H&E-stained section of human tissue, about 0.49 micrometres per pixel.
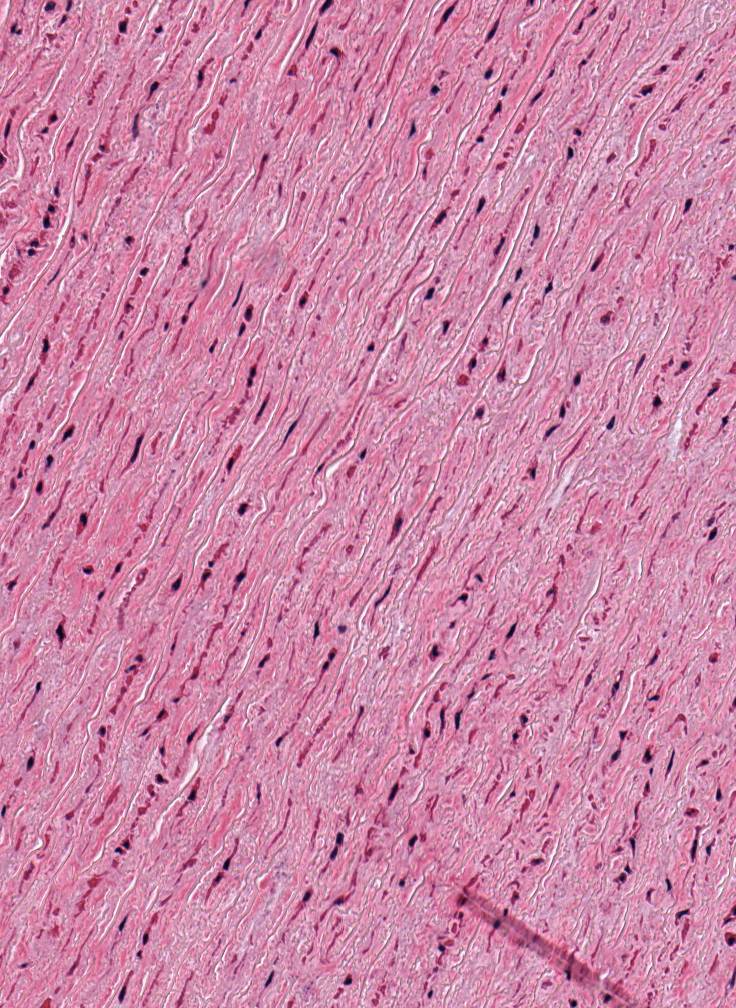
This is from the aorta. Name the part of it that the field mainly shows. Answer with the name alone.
tunica media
